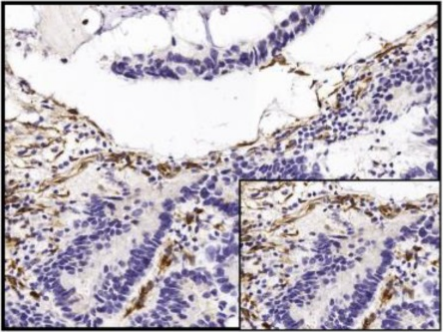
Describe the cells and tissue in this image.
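Columnar epithelial cells with elongated, crowded blue nuclei line glands and a large empty lumen at the top, and are largely unstained. Between the glands, brown stain outlines thin spindle-shaped cells running along the gland bases and irregular, more compact cells with dark cytoplasm. Small round blue nuclei of infiltrating cells fill the stroma.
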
